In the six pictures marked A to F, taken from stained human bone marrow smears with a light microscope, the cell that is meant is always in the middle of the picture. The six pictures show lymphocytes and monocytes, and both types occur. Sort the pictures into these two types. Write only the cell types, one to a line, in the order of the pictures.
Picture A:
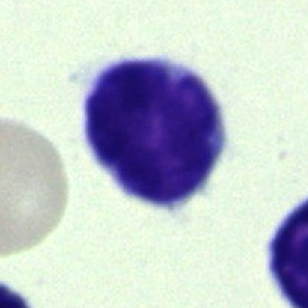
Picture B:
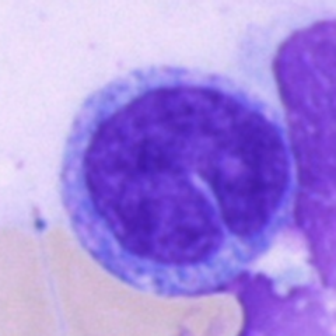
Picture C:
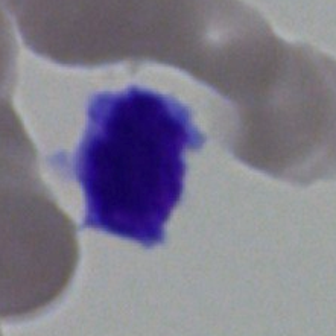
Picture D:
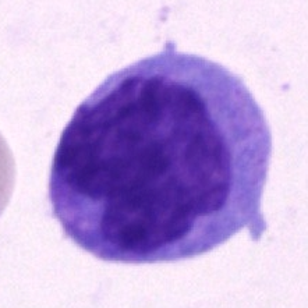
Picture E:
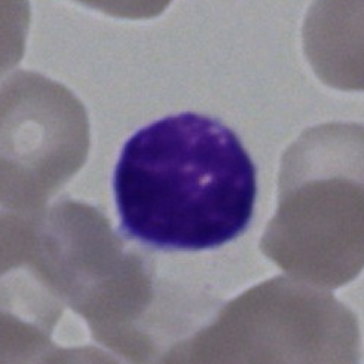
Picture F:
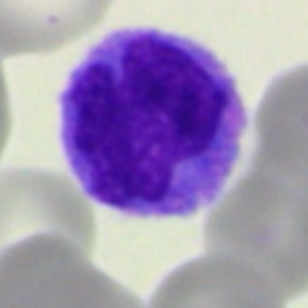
lymphocyte
monocyte
lymphocyte
monocyte
lymphocyte
monocyte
